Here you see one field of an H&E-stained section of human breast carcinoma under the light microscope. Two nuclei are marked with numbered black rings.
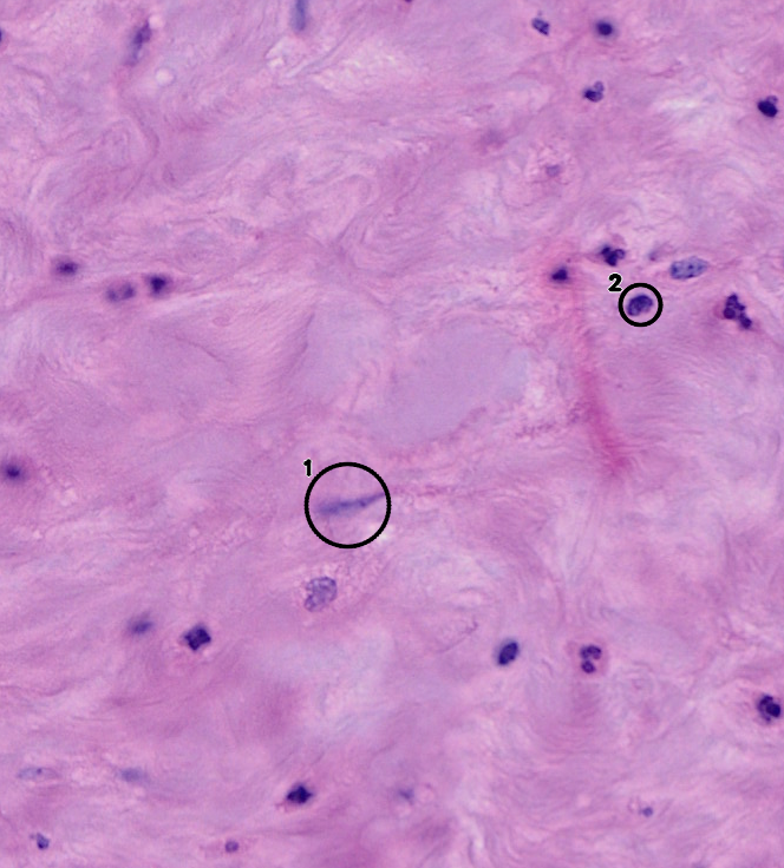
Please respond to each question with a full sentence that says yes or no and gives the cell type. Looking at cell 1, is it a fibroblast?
Yes, the cell with the mark numbered 1 is a fibroblast.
